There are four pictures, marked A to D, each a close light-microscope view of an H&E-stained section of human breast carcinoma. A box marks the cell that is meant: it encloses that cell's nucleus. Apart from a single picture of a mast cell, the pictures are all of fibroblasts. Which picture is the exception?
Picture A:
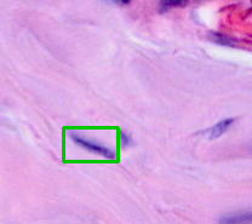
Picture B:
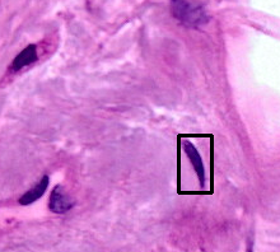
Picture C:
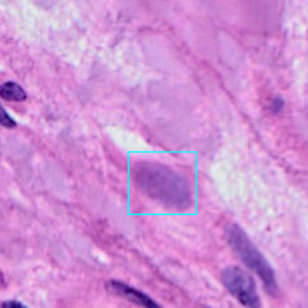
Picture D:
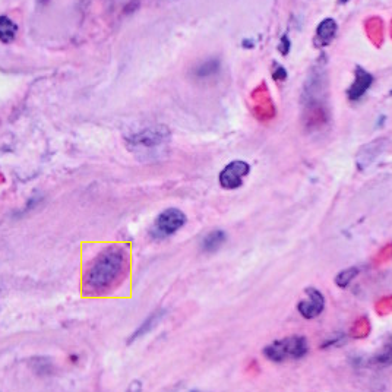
D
